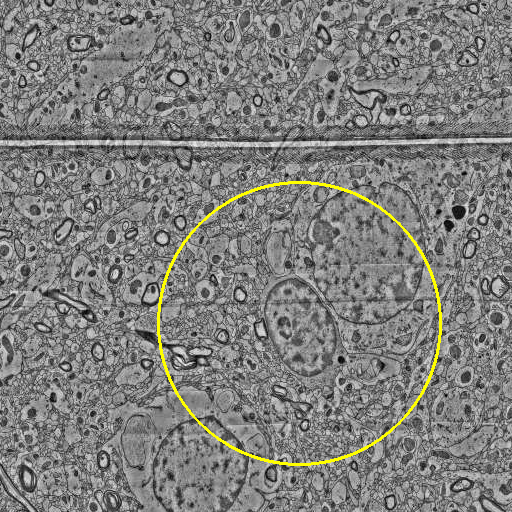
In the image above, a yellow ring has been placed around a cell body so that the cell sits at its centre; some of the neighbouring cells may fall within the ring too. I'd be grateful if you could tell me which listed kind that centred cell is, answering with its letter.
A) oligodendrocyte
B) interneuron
A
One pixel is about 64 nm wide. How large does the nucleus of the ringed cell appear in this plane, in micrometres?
Roughly 6 micrometres by 4 micrometres, in this plane.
